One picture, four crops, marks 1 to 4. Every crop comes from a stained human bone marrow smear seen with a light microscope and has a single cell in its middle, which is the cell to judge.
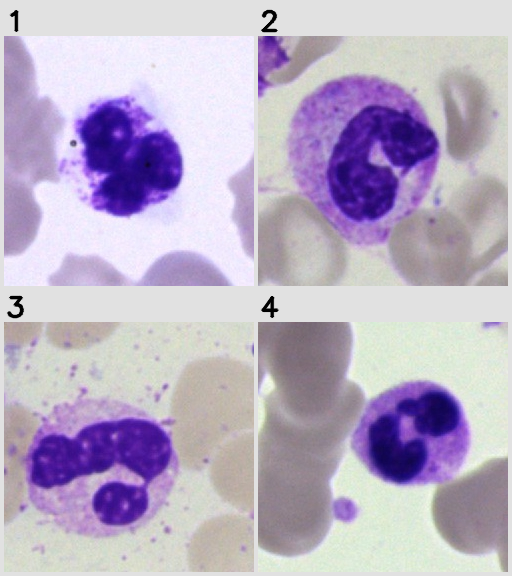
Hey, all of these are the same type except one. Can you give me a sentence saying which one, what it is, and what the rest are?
In every crop except crop 2, which shows a band neutrophil, segmented neutrophils are shown.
